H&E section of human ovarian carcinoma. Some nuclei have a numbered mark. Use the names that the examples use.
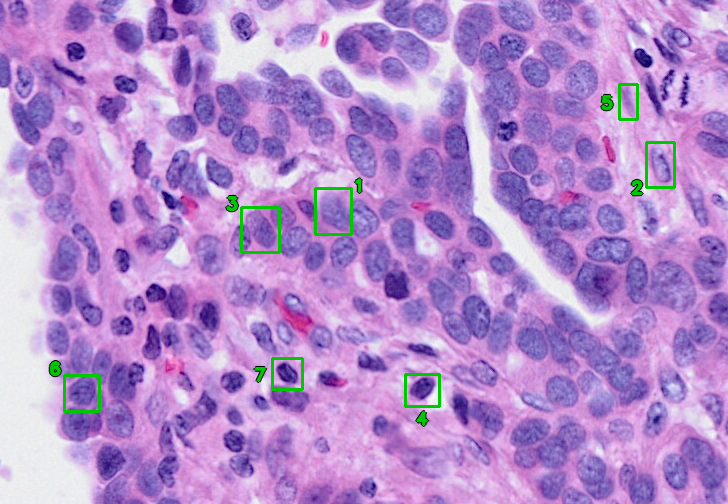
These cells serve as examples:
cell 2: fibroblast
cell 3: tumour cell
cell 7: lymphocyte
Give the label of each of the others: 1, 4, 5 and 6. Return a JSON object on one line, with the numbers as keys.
{"1": "tumour cell", "4": "lymphocyte", "5": "fibroblast", "6": "tumour cell"}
